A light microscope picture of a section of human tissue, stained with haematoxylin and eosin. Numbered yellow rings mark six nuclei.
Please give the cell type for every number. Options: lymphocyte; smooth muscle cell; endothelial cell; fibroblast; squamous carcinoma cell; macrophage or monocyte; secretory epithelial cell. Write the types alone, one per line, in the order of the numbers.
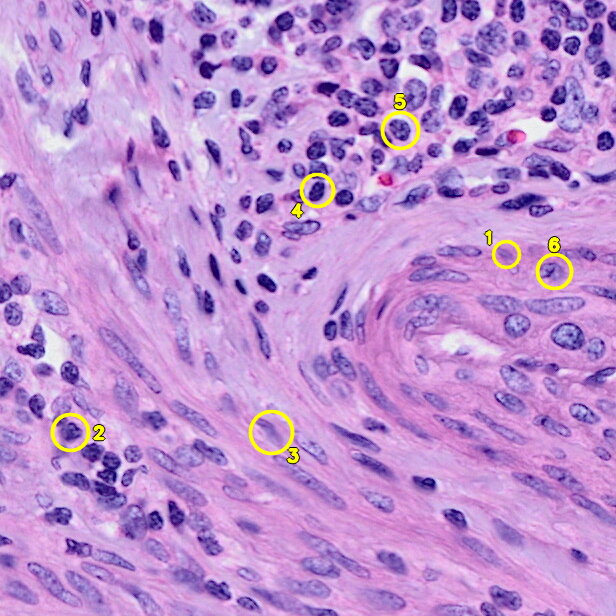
smooth muscle cell
lymphocyte
smooth muscle cell
lymphocyte
lymphocyte
smooth muscle cell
